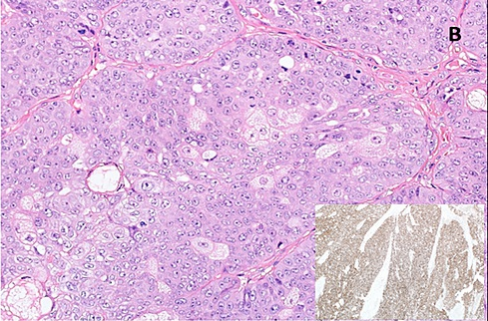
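Tumor of predominantly basaloid cells arranged in solid nests separated by thin pink fibrous septa. The cells are crowded, with pink cytoplasm and enlarged, round to oval, pleomorphic nuclei, many with prominent nucleoli. Scattered among them are small groups of larger, more mature sebocytes with pale, finely vacuolated, bubbly cytoplasm. A few small empty or pale-staining spaces lie within the nests. The inset shows the tumor sheets with diffuse brown staining throughout.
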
